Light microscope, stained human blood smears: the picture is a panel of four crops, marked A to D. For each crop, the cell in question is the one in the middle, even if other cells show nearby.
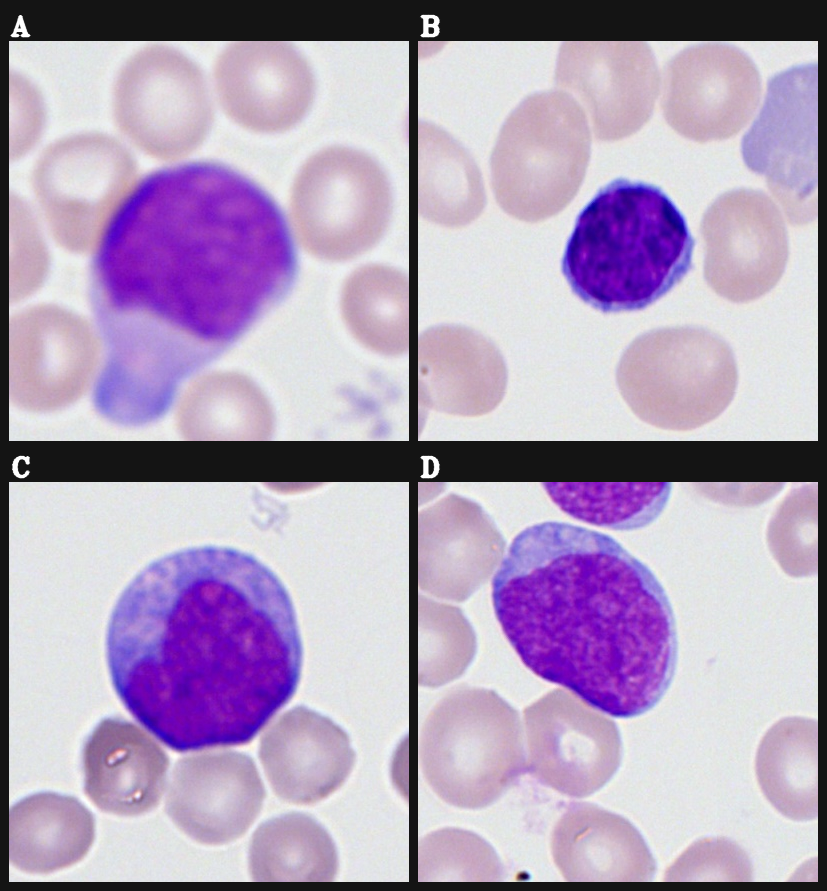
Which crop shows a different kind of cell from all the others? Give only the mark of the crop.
B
